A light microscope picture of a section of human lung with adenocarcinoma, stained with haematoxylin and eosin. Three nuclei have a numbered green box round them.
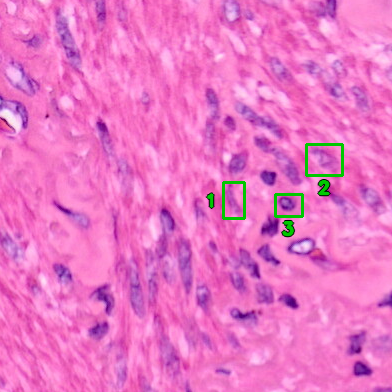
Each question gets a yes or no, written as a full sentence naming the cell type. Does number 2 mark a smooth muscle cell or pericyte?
Yes, the cell tagged with number 2 is a smooth muscle cell or pericyte.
